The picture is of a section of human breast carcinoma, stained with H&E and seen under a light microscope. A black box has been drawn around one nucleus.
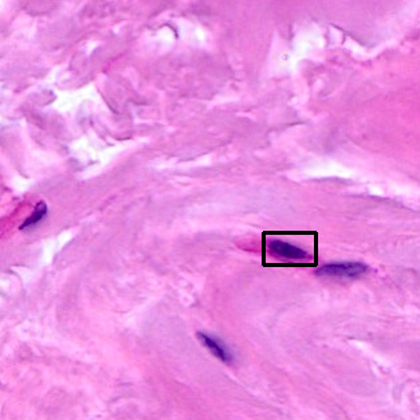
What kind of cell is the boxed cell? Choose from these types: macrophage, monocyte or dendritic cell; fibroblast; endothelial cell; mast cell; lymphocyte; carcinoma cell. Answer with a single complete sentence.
The boxed cell appears to be a mast cell.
